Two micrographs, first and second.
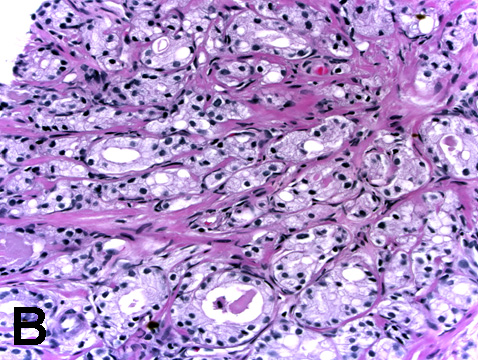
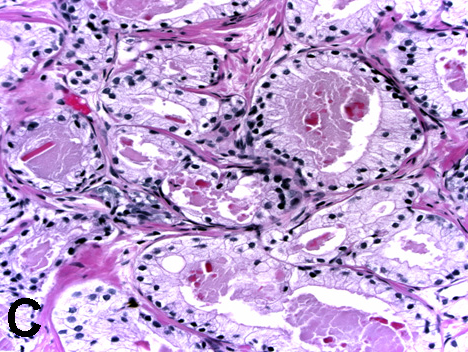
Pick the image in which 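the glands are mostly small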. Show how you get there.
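The first image. Second image: several large glands with wide lumens holding pink material. First image: mostly small glands with narrow lumens.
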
